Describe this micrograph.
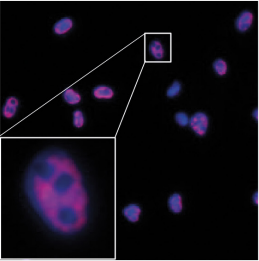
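The enlarged inset shows one nucleus with a red-pink nucleoplasm in which several rounded blue-dark spots, likely nucleoli or denser chromatin, are seen. The cells are well separated from one another, with no cytoplasm visible in these colours.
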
